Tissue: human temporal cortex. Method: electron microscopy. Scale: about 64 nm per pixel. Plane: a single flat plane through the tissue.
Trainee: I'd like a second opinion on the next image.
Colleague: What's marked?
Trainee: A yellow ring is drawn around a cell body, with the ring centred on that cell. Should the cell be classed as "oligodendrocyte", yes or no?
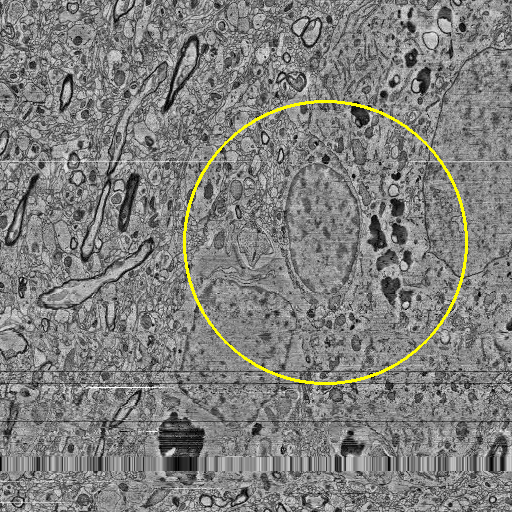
Yes, it should.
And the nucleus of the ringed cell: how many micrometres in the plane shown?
The nucleus is about 9 micrometres in length and 5 in width, clearly longer than it is wide in this plane.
